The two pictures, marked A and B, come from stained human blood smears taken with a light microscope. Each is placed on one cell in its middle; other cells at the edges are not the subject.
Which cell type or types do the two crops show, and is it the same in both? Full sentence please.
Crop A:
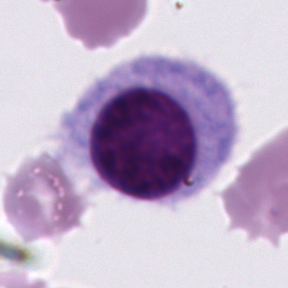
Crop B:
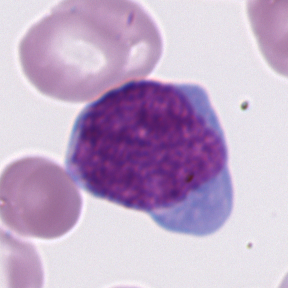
No, the cell at the middle of crop A is a hairy cell, while crop B centres on a myeloblast.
